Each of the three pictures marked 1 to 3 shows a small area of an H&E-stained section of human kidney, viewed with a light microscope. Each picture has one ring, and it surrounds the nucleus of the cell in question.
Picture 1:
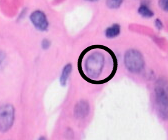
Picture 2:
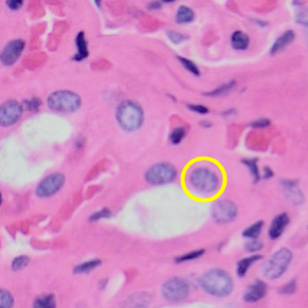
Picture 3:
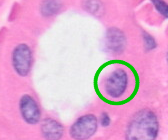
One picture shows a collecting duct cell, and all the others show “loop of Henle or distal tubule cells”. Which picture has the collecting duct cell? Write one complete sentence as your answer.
Picture 1 shows the collecting duct cell.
